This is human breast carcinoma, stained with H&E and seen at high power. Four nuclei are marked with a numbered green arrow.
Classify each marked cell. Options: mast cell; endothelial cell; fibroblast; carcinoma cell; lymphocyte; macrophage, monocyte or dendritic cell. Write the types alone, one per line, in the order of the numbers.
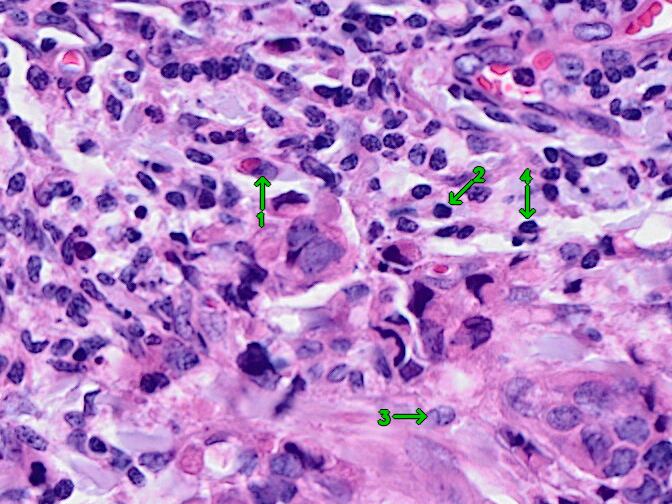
endothelial cell
lymphocyte
macrophage, monocyte or dendritic cell
lymphocyte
